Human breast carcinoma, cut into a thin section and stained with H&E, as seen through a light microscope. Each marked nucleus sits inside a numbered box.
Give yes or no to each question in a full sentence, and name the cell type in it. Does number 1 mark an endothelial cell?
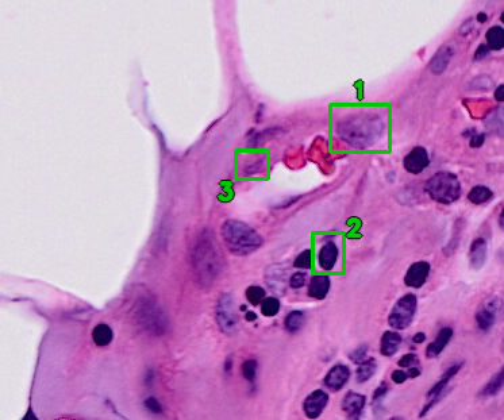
Yes, the cell given number 1 is an endothelial cell.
